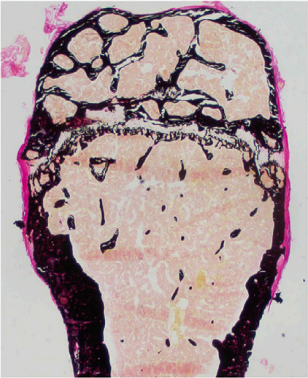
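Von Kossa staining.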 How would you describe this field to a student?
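At the top, the rounded bone end holds a dense black trabecular network enclosing marrow spaces. Below it a narrow irregular transverse band marks the growth plate. Beneath the plate, the marrow cavity is mostly pale, with scattered thin black spicules and small fragments of trabecular bone. Thick black cortical bone forms both side walls and thickens downward. A thin pink layer of soft tissue lines the outer surface, clearest along the left side. Individual cells are not resolved at this magnification.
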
